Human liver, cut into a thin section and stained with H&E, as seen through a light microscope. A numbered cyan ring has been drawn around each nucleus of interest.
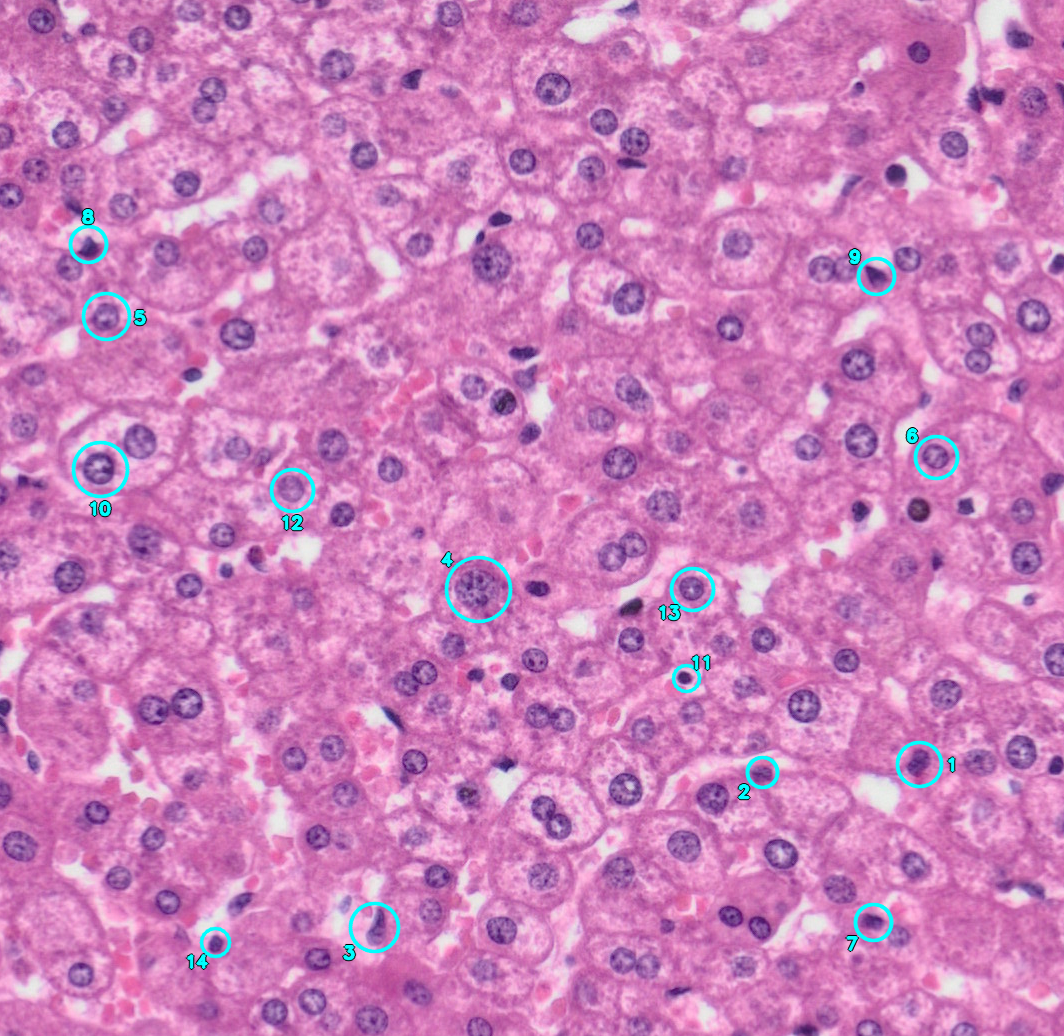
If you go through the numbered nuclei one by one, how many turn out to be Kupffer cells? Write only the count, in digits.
1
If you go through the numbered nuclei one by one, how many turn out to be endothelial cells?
2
